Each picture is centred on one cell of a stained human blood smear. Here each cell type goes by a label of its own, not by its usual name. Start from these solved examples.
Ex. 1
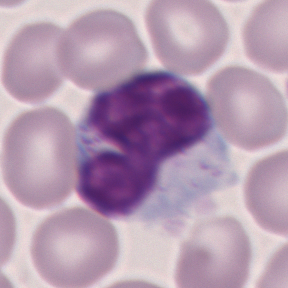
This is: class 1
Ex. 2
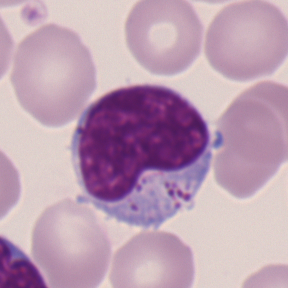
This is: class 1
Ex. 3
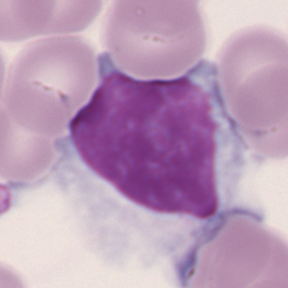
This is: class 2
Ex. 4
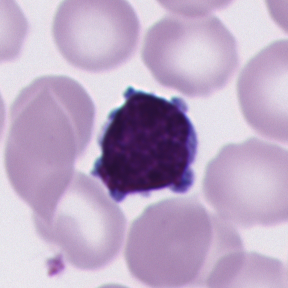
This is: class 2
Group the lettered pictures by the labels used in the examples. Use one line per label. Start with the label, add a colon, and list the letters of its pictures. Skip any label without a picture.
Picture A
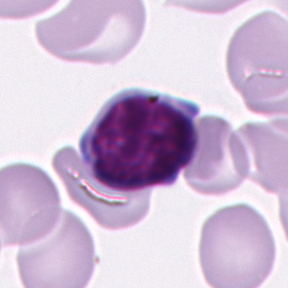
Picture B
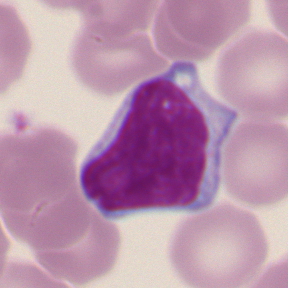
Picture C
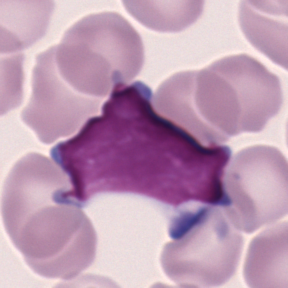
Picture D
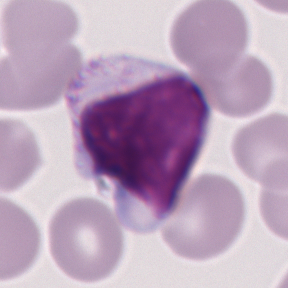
class 1: D
class 2: A, B, C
